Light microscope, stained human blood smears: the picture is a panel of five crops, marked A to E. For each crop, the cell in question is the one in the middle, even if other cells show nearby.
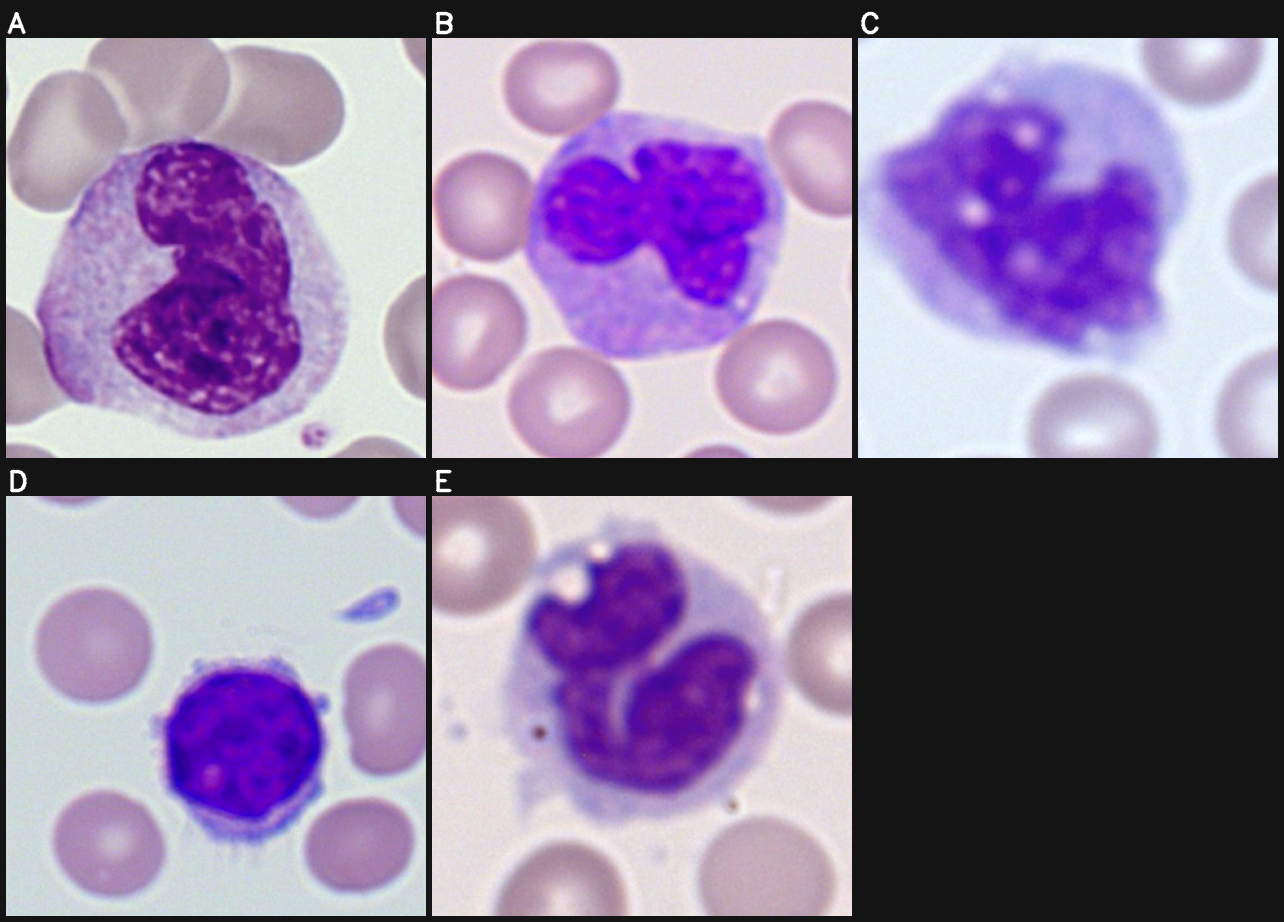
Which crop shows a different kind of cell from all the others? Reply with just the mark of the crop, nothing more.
D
